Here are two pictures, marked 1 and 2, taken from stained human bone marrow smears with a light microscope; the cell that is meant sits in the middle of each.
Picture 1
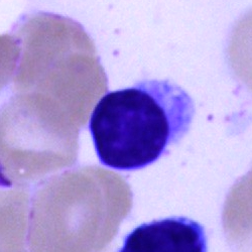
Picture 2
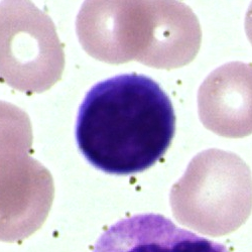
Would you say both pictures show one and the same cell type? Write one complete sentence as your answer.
Yes, both are lymphocytes.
